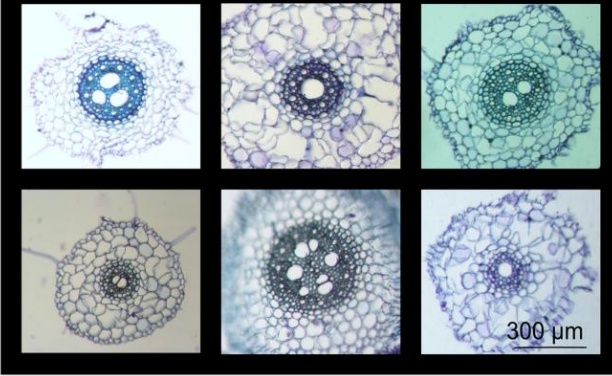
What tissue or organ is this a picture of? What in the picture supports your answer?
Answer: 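Roots. Round cross-sections with a broad ring of thin-walled cells around a compact central cylinder. Large open vessel lumens sit in the centre of each section. Fine hair-like extensions project from the outer surface of some sections.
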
